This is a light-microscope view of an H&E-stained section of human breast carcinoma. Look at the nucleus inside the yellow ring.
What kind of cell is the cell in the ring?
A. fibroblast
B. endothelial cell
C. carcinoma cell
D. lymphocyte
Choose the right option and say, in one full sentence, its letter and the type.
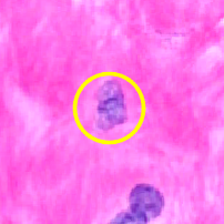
In the section, the cell in the ring is a fibroblast, and option A is correct accordingly.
